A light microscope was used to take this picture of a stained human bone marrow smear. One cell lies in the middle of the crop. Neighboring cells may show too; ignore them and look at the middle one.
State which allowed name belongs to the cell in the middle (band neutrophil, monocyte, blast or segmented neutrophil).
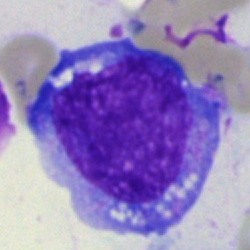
blast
